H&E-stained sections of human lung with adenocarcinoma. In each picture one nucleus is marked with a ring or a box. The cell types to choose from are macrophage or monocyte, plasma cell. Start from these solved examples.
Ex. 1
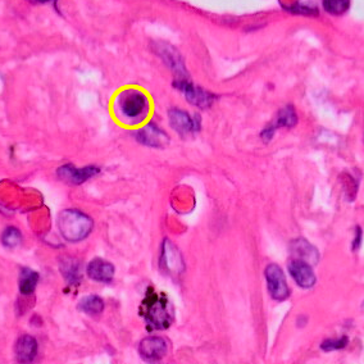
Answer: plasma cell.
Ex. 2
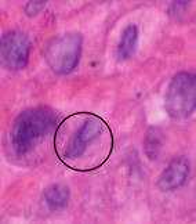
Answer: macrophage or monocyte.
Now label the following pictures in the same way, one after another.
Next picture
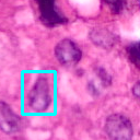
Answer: macrophage or monocyte.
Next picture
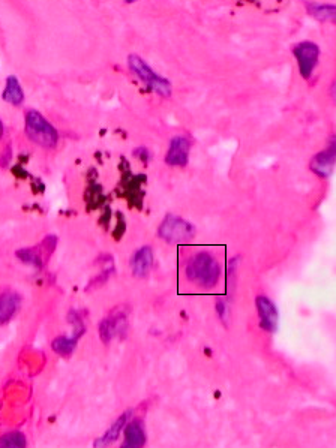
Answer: plasma cell.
